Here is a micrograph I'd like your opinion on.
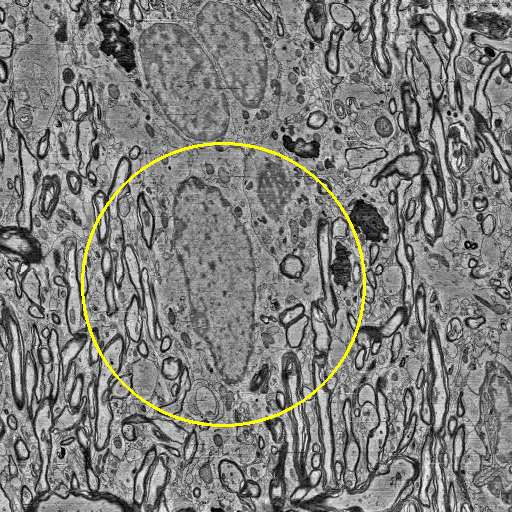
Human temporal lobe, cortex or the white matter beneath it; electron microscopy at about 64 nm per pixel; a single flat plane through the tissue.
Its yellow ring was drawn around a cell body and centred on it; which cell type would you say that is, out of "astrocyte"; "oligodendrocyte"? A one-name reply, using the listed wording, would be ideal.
astrocyte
